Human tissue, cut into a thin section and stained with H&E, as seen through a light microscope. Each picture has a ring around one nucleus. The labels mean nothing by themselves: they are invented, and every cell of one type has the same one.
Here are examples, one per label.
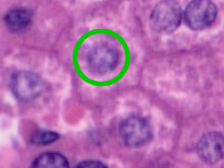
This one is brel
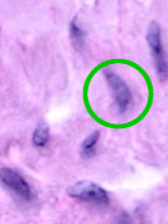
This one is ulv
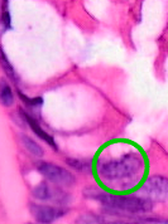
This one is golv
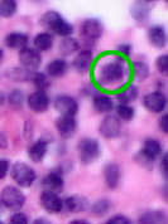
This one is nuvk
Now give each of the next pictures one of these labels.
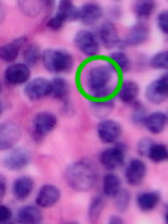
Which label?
nuvk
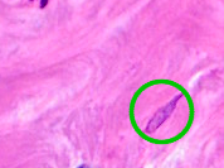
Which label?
ulv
